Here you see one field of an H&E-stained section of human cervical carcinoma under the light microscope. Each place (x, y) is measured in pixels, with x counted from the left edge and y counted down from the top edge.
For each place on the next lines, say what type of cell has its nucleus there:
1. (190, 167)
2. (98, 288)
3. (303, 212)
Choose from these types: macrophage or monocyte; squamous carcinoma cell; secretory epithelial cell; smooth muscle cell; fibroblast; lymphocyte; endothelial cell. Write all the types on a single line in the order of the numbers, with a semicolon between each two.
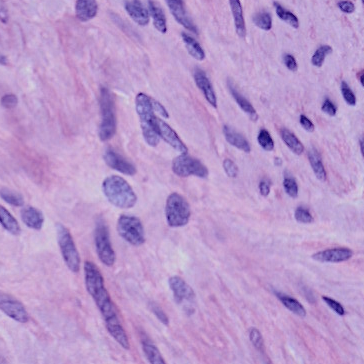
fibroblast; smooth muscle cell; smooth muscle cell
